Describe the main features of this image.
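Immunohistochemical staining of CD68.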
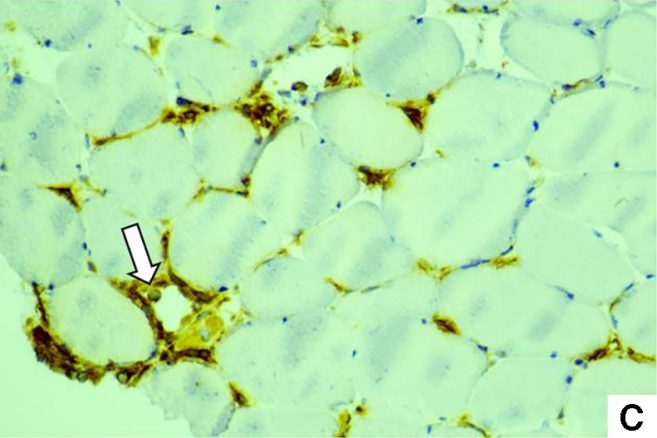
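Cross-sectioned myocytes appear pale with blue-stained nuclei at their edges. Brown-stained cells of irregular shape lie in the narrow spaces between the fibres, gathering in clusters that hug the borders of some fibres.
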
